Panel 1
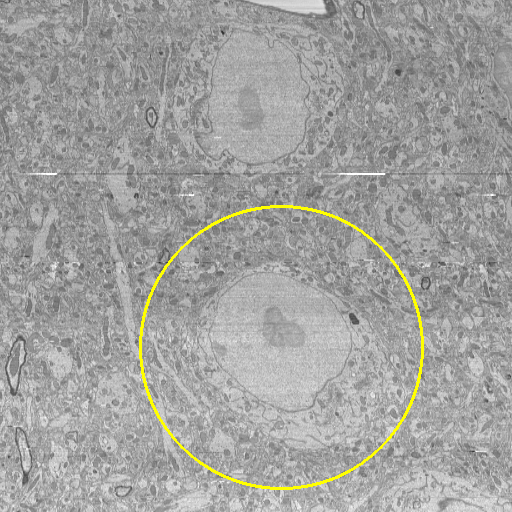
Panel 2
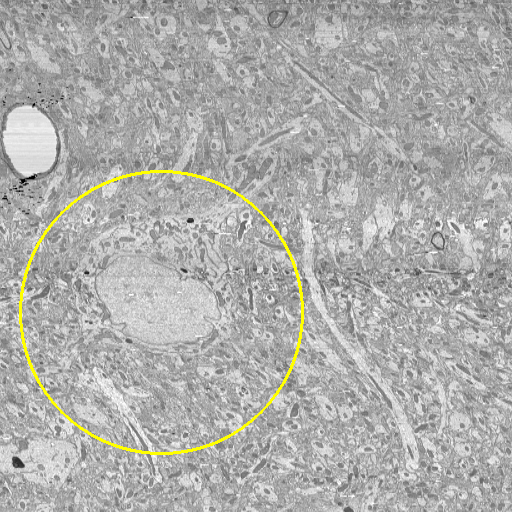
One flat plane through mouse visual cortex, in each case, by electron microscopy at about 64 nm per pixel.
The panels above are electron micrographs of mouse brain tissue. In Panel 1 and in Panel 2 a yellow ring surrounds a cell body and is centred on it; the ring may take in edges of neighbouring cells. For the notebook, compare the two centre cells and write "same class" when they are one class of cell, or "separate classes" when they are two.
separate classes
